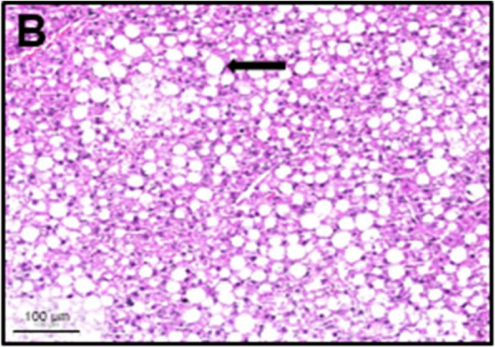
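This is liver tissue in which the hepatocytes are crowded with round, clear, empty-looking vacuoles. The vacuolation is widespread across the field rather than confined to a small area.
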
